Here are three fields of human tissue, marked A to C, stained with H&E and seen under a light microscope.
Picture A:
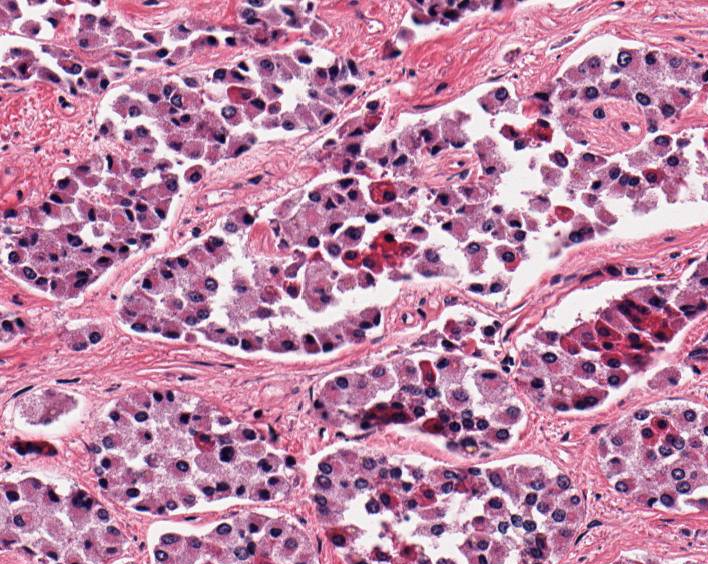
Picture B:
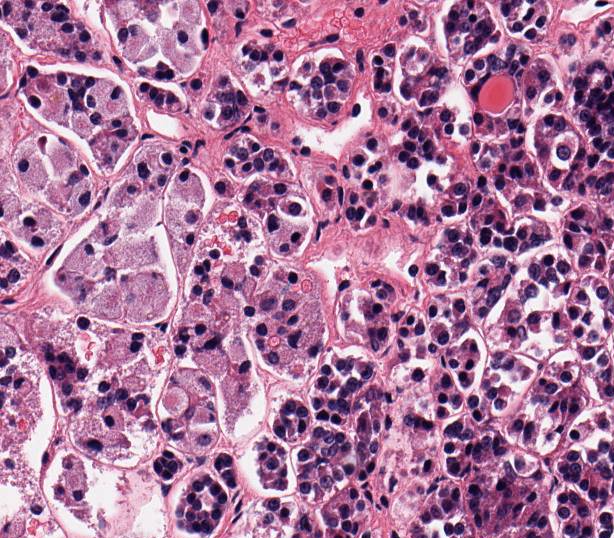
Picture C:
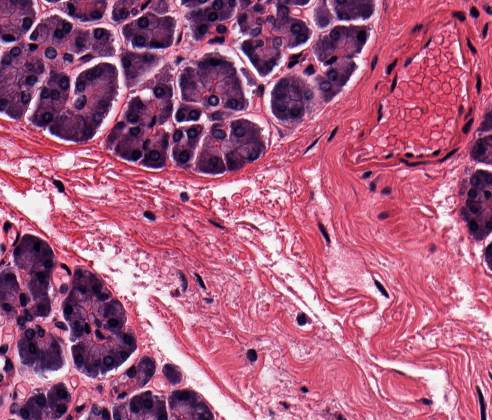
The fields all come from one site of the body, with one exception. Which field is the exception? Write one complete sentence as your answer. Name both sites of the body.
Picture C is the odd one out: it comes from the pancreas, while the others come from the pituitary.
